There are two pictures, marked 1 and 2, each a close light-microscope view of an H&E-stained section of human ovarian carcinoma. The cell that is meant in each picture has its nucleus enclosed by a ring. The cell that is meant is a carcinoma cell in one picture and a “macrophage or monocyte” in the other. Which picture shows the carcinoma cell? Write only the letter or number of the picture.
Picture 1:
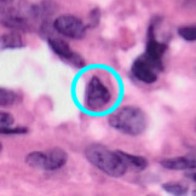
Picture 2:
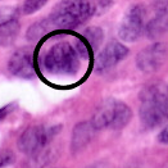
2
